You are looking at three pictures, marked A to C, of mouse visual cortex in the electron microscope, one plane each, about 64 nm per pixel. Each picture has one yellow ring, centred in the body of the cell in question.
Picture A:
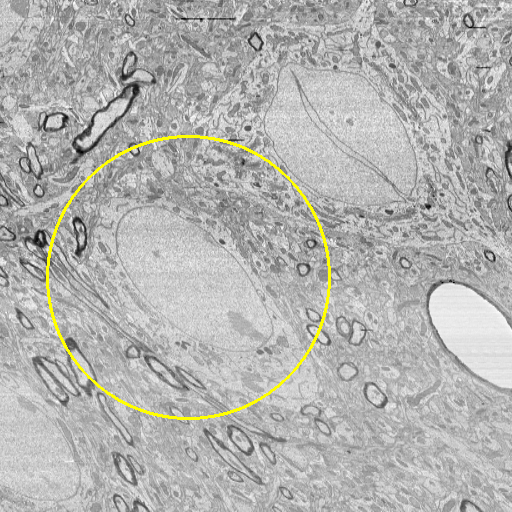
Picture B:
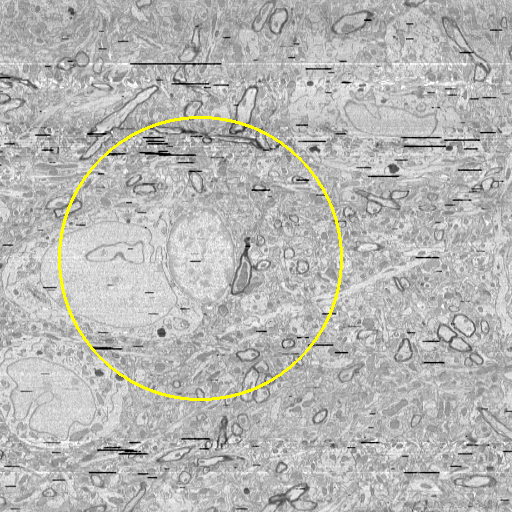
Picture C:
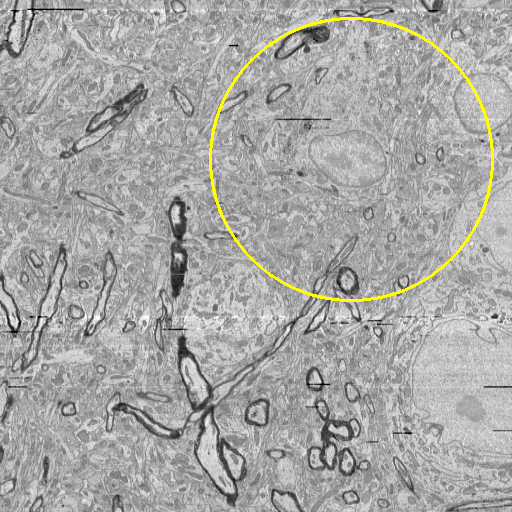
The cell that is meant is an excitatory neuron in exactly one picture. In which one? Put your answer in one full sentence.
The excitatory neuron is the one in picture A.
